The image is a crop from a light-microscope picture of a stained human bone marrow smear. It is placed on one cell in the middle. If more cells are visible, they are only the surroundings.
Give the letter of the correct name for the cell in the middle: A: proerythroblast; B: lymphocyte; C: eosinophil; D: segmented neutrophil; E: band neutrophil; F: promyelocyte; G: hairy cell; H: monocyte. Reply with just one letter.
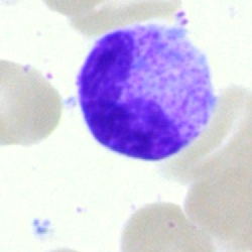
E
